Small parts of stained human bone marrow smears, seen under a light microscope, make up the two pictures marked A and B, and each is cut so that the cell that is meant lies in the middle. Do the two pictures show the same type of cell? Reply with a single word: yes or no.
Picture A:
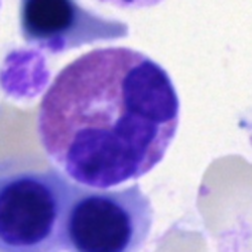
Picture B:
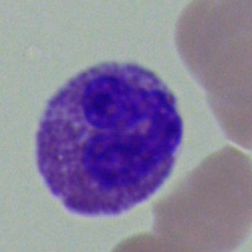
yes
